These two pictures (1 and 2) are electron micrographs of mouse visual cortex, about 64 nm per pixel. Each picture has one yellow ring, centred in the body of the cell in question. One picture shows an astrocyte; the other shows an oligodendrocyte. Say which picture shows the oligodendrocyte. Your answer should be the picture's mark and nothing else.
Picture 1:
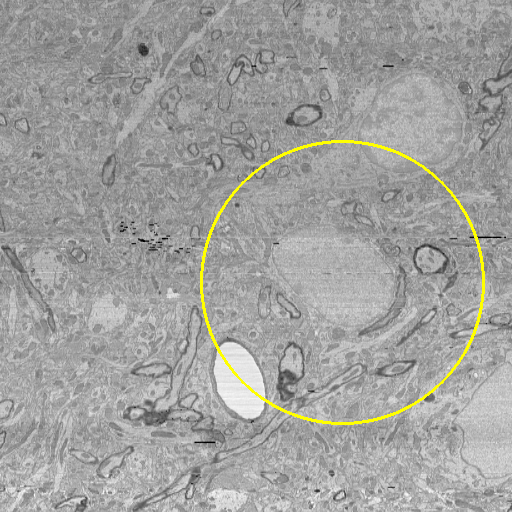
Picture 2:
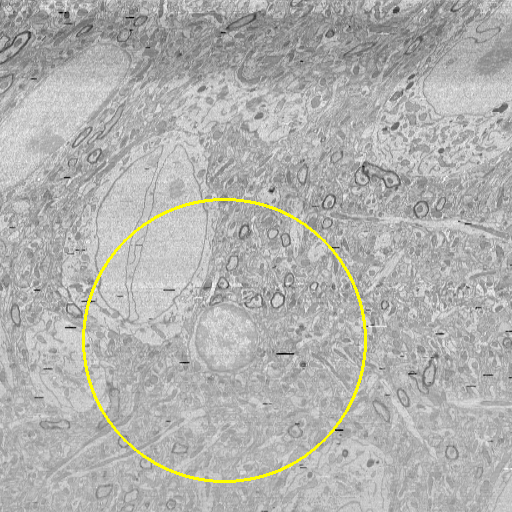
2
